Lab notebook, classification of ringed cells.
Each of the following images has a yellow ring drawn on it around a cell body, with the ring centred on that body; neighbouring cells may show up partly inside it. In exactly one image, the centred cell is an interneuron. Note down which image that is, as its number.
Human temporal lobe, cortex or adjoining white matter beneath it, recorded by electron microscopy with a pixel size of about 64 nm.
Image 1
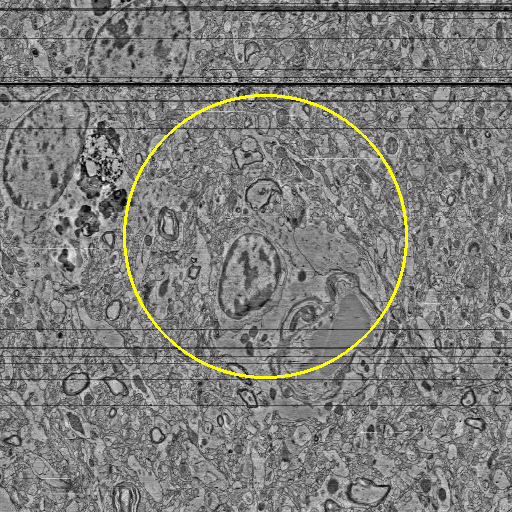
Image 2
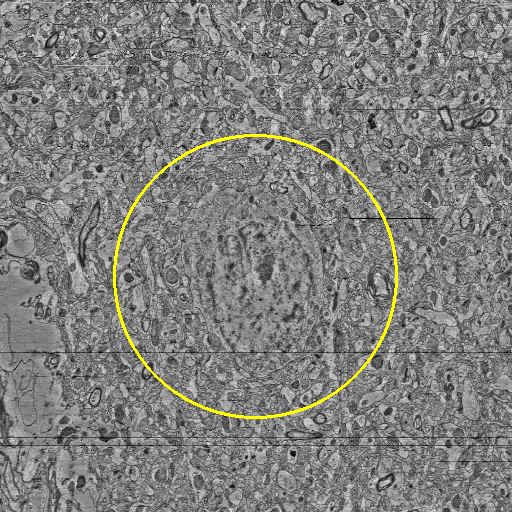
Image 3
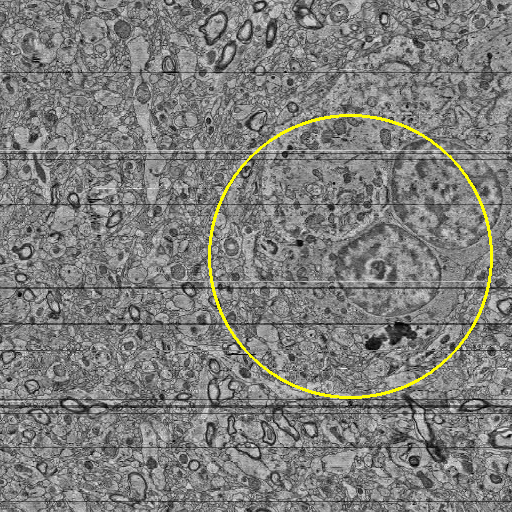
2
